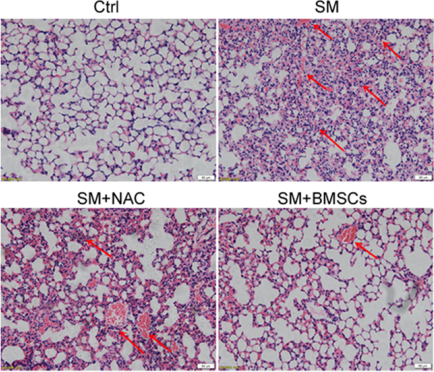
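These are sections of lung parenchyma stained with hematoxylin and eosin, showing alveoli separated by septa. In the top-left image the alveolar spaces are open and clear, and the septa are thin and delicate, with few purple nuclei. In the top-right image the tissue is much denser. The septa are thickened and crowded with dark purple nuclei, so the alveolar spaces are narrowed. Patches of pink-red material, marked by red arrows, lie within the tissue. The two lower images are intermediate. Their alveoli are more open, but they contain focal pink-red collections marked by arrows.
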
